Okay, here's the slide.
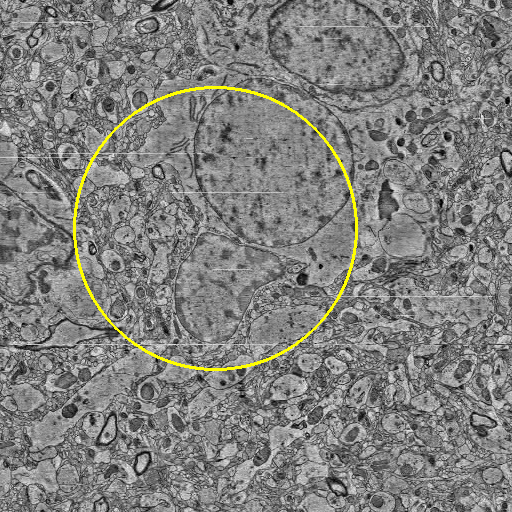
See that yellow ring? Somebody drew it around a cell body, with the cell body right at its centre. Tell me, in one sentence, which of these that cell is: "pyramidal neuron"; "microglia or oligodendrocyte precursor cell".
The cell in the middle of the ring is a microglial cell or oligodendrocyte precursor cell.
